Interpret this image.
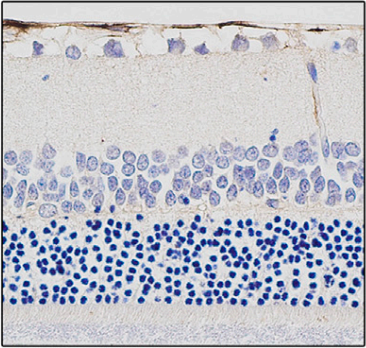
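This cross-section of retina shows its layers in order, with brownish yellow stain confined mostly to the innermost surface, the retinal nerve fiber layer. Beneath it the ganglion cell layer has a sparse row of pale oval nuclei. The inner plexiform layer is a broad, pale, finely textured band crossed by only an occasional faint thin fibre. The inner nuclear layer contains several rows of oval pale blue nuclei, and the outer nuclear layer below is densely crowded with small round dark blue nuclei. At the bottom is the pale photoreceptor segment layer.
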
